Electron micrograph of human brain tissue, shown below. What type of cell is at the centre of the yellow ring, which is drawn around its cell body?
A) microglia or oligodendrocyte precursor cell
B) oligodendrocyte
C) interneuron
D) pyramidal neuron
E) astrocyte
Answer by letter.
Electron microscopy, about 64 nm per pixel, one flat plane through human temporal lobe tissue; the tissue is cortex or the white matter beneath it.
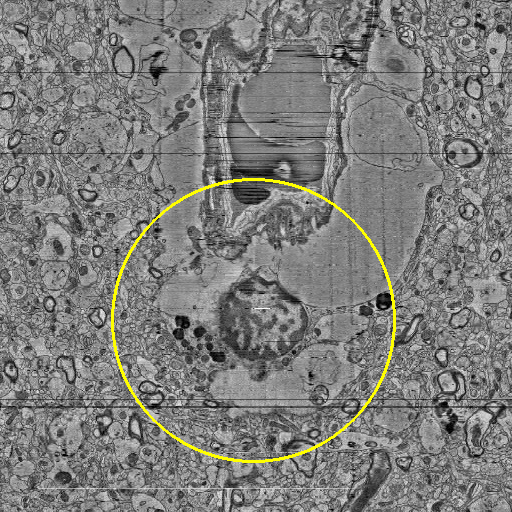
A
